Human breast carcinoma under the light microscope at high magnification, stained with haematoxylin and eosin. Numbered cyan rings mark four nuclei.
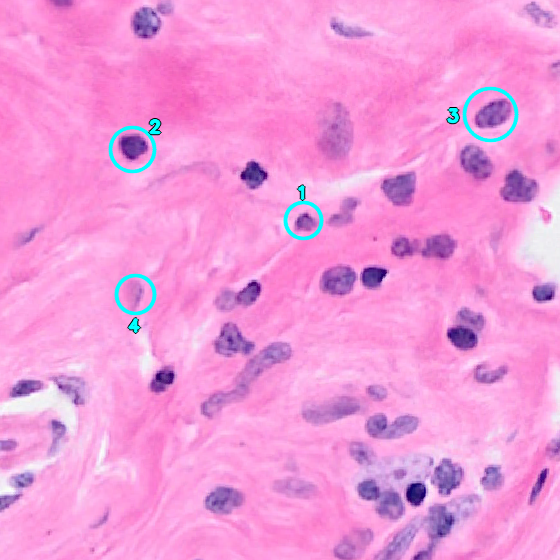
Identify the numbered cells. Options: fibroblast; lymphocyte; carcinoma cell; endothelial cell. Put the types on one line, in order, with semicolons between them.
lymphocyte; lymphocyte; lymphocyte; fibroblast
